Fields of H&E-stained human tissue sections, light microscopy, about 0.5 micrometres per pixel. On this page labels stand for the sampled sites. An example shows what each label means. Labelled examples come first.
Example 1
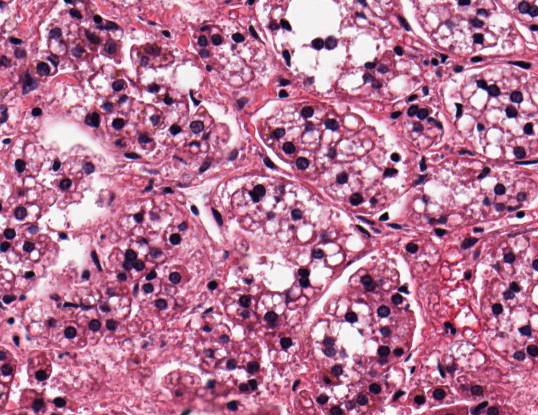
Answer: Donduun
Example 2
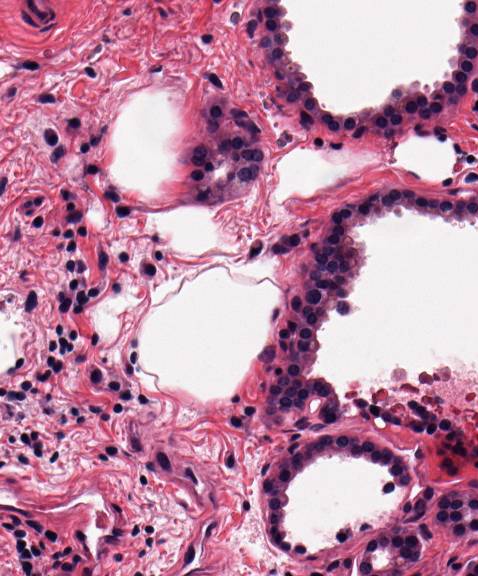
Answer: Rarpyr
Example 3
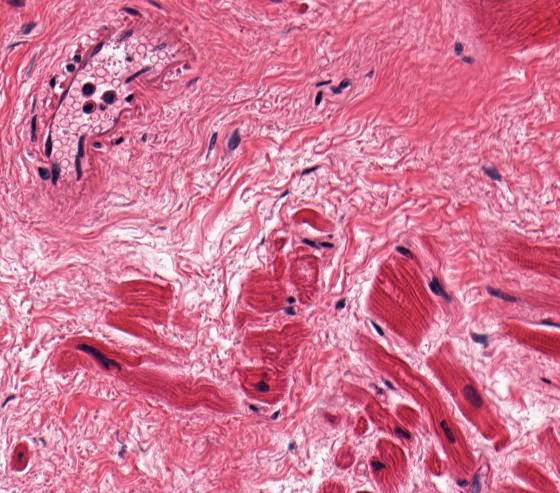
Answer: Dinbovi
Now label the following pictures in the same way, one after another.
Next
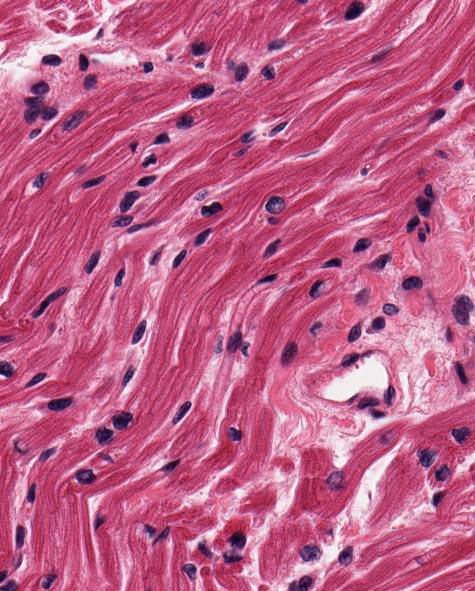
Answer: Dinbovi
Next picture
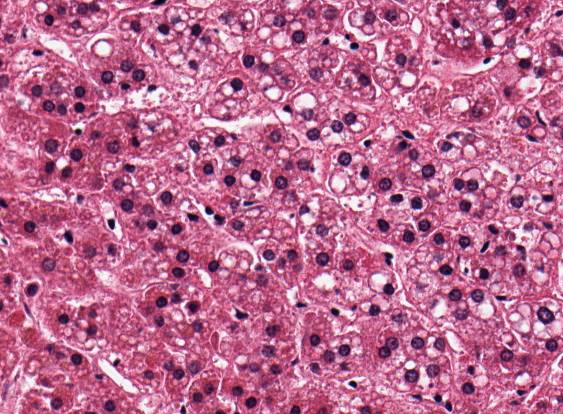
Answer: Donduun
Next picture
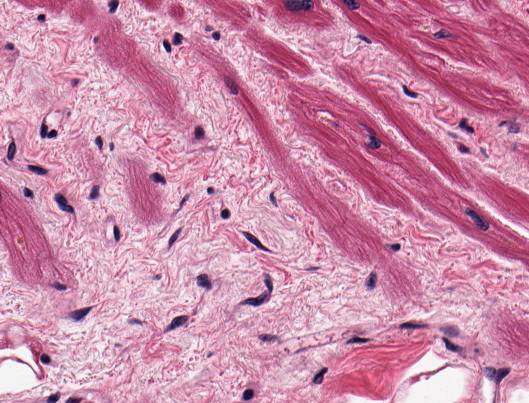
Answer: Dinbovi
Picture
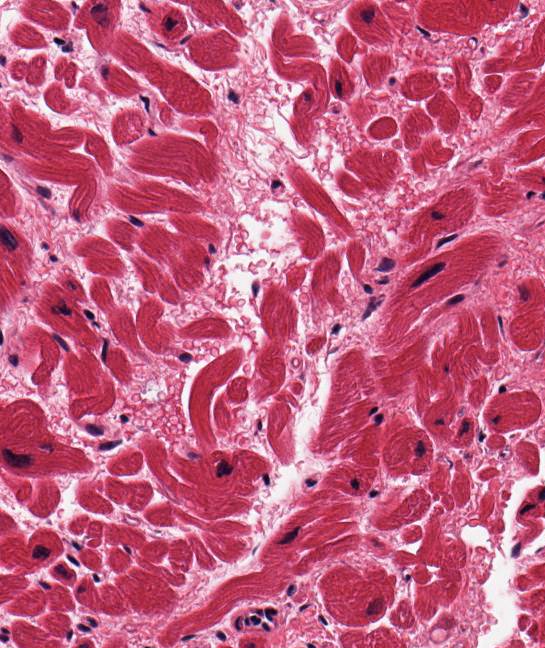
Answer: Dinbovi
